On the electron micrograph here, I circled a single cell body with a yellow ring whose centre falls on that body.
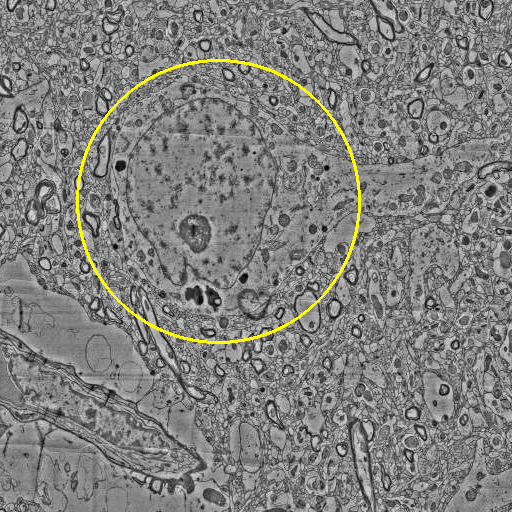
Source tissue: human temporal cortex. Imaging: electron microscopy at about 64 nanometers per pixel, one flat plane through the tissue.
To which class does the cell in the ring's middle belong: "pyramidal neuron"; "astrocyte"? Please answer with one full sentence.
In this picture, the cell body circled at the ring's centre belongs to a pyramidal neuron.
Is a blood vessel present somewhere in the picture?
Yes, one is visible.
